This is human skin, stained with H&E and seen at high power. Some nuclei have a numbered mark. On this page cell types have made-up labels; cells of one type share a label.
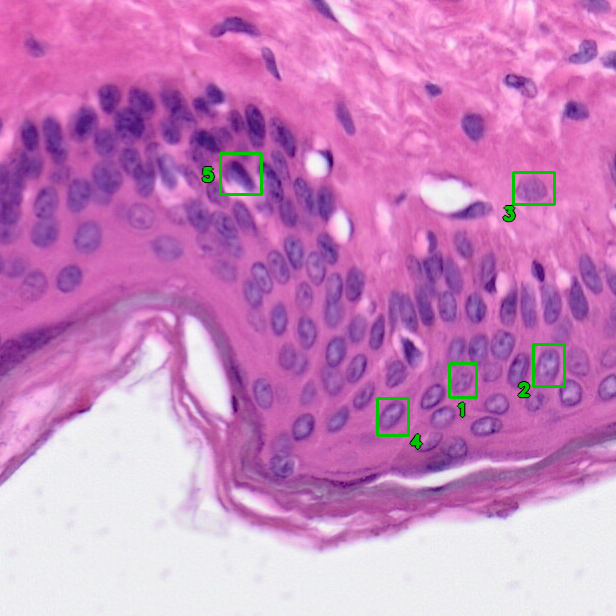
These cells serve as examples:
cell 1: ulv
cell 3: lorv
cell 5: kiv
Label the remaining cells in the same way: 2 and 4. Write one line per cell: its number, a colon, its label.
2: ulv
4: ulv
